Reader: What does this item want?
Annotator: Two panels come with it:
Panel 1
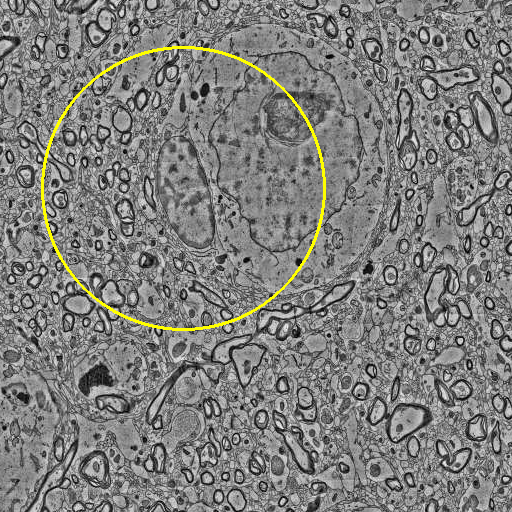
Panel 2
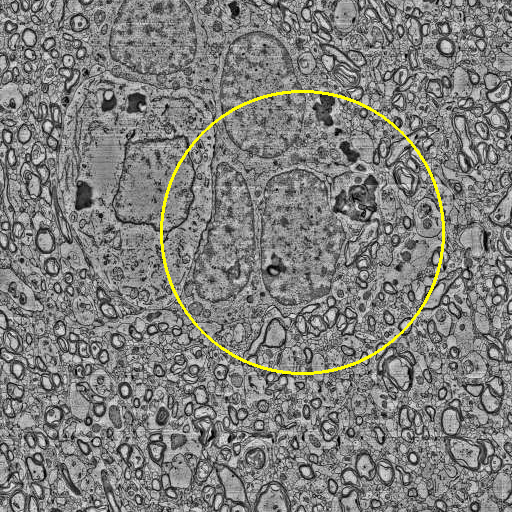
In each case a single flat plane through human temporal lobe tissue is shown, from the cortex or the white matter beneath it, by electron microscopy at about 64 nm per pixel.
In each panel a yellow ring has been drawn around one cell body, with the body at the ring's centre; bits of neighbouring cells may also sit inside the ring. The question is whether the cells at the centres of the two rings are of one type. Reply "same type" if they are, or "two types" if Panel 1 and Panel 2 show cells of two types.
two types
